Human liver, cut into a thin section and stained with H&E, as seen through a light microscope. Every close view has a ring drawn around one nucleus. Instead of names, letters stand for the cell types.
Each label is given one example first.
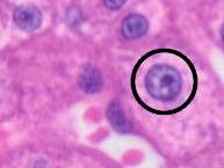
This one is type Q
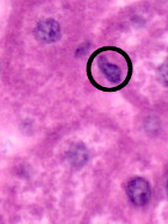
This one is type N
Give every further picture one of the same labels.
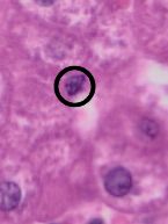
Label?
type N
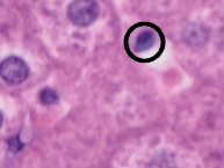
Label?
type N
